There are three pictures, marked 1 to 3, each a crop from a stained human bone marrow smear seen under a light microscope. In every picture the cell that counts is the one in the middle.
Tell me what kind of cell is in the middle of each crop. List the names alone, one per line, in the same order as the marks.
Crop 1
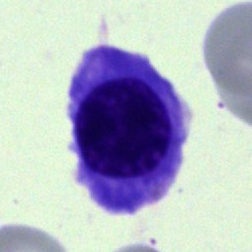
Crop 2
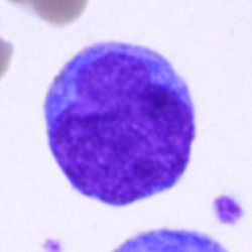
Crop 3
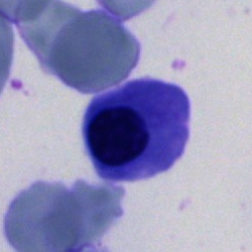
erythroblast
blast
erythroblast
